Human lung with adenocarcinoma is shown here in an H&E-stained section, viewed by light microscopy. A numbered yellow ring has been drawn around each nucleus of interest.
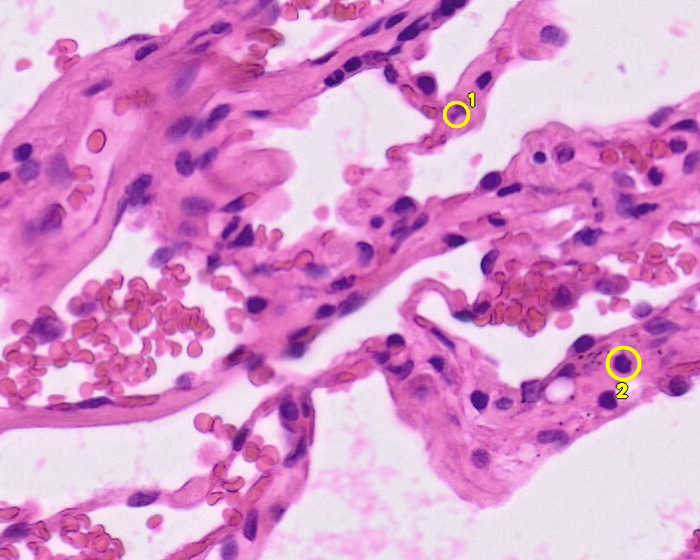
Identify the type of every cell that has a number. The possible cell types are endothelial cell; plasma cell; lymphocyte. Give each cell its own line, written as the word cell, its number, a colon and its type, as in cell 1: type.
cell 1: endothelial cell
cell 2: lymphocyte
